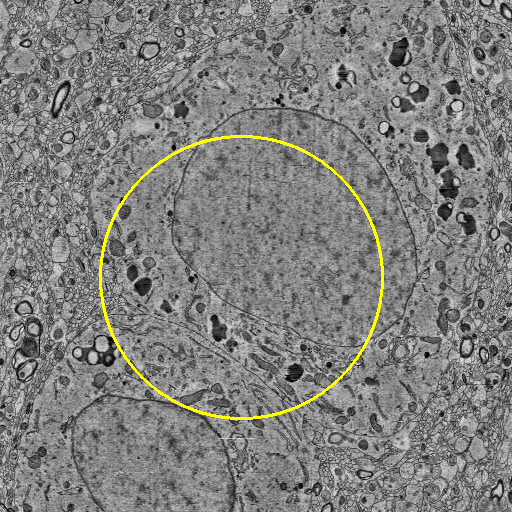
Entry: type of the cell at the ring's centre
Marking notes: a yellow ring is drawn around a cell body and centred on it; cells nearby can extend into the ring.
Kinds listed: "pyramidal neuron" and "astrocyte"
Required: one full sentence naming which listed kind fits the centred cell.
My entry names a pyramidal neuron as the cell whose body the yellow ring centres on.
